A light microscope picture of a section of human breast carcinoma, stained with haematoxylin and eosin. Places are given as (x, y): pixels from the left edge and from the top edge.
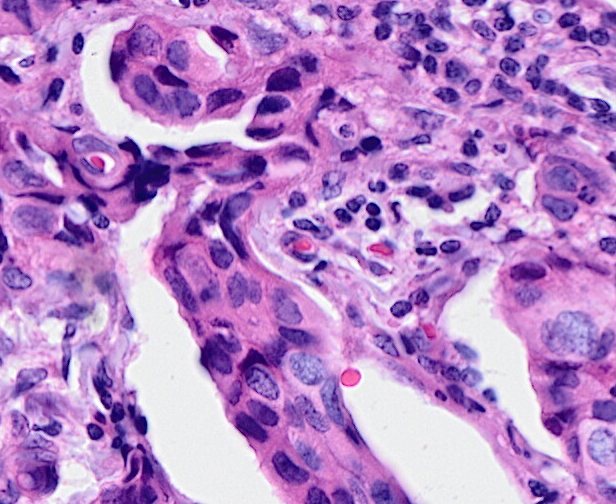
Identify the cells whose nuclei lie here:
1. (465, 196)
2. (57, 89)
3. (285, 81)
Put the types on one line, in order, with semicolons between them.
lymphocyte; lymphocyte; carcinoma cell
